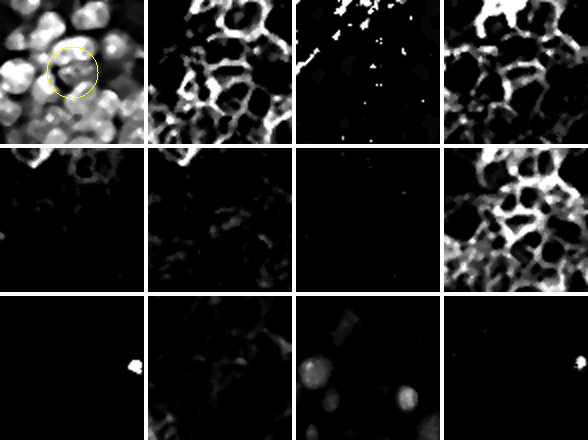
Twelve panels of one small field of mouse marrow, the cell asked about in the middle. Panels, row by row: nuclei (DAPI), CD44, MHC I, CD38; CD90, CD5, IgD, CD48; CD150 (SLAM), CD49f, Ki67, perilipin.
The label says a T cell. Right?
Wrong: this is a monocyte.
